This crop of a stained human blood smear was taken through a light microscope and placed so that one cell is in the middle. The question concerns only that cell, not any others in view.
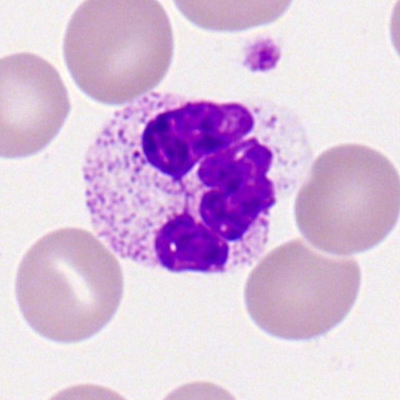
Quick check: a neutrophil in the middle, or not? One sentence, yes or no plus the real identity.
Yes, the cell centred in the field of view is a neutrophil.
